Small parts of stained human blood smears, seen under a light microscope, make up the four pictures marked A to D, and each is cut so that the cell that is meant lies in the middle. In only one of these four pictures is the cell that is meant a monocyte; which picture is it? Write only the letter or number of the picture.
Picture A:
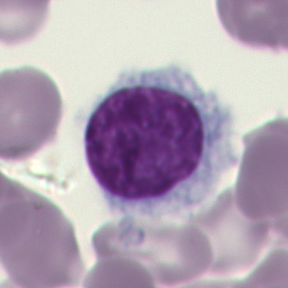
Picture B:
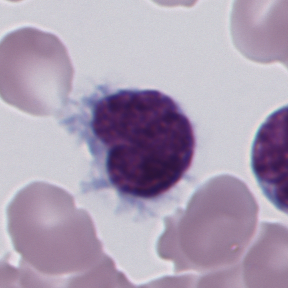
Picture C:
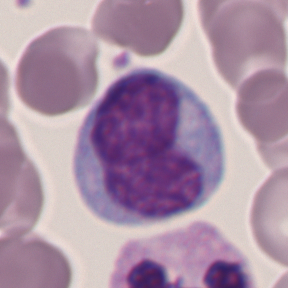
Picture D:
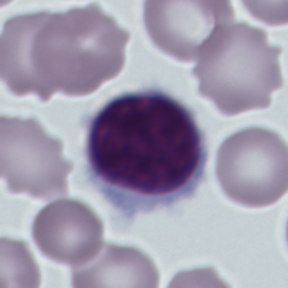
C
